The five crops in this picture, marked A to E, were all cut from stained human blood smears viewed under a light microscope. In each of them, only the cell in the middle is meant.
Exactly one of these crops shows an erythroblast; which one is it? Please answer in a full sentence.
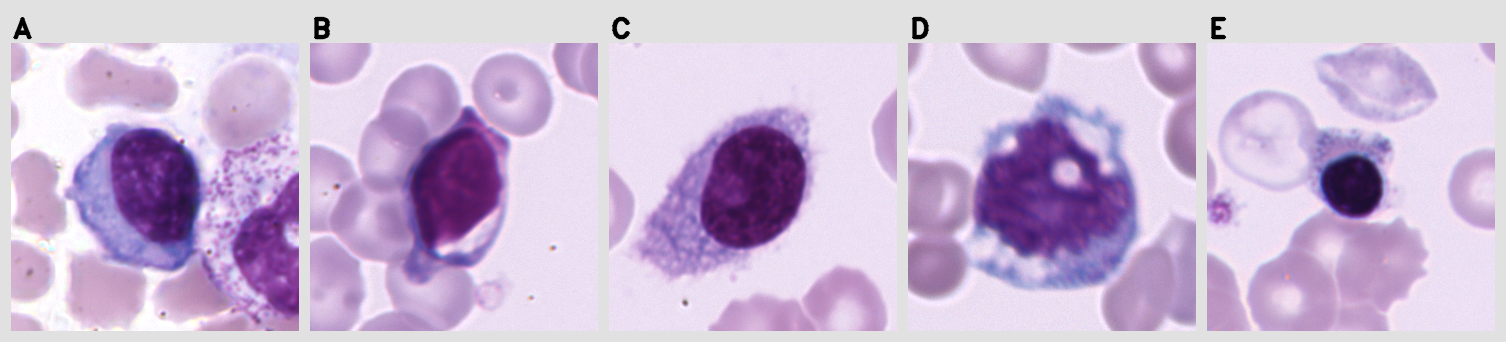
Crop E is where an erythroblast is to be found.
